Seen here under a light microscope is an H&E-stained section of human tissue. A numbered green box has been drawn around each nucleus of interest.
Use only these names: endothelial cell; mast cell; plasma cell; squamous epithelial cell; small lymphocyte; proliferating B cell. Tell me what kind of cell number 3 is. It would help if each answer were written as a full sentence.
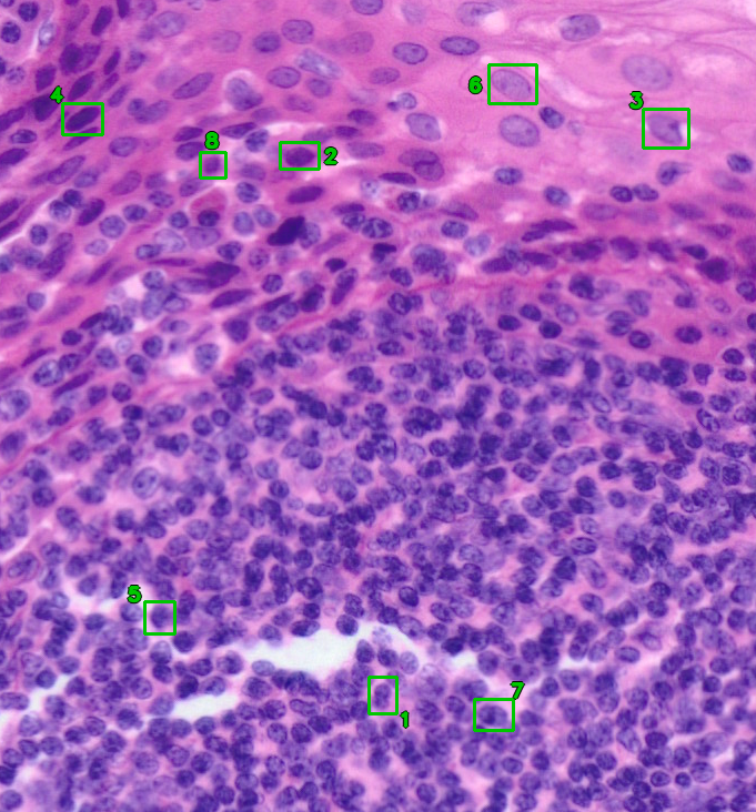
Nucleus 3 in this section belongs to a squamous epithelial cell.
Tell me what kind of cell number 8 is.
Cell 8 in the field of view is a squamous epithelial cell.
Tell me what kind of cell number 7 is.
Nucleus 7 in this section belongs to a small lymphocyte.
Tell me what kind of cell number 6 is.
The cell referenced by the number 6 is a squamous epithelial cell in this field.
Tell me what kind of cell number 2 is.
The numeral 2 marks a squamous epithelial cell in this section.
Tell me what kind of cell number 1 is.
The nucleus labeled 1 belongs to a small lymphocyte.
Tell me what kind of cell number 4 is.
Nucleus 4 in this section belongs to a squamous epithelial cell.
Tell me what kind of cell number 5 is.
The cell indicated with the number 5 is classed as a small lymphocyte.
